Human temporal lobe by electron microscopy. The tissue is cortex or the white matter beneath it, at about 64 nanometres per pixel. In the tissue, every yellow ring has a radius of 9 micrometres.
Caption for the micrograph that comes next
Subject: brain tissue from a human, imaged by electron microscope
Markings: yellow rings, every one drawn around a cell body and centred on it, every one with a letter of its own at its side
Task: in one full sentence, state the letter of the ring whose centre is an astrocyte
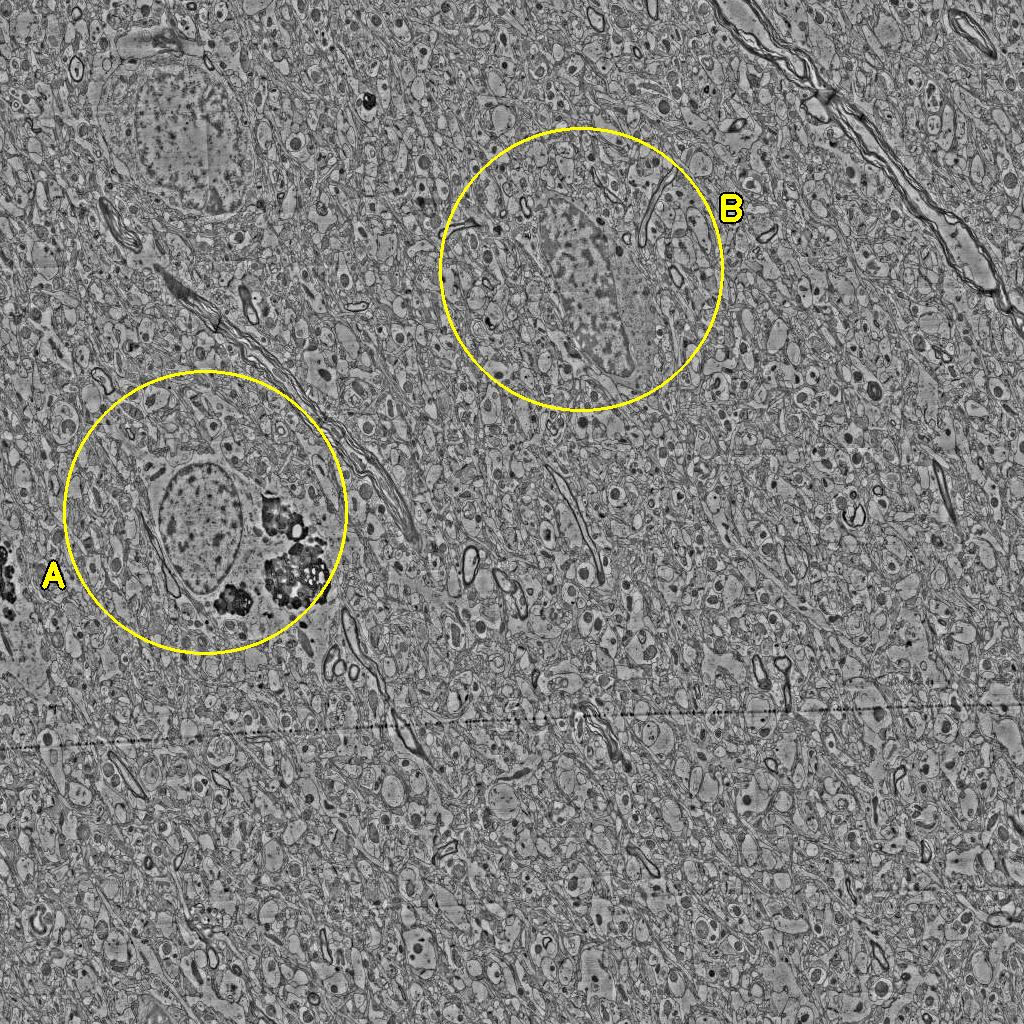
The ring centred on the cell asked for in this micrograph carries the letter A.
